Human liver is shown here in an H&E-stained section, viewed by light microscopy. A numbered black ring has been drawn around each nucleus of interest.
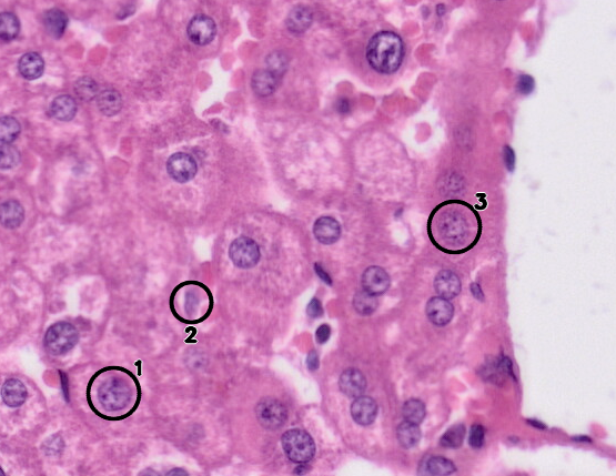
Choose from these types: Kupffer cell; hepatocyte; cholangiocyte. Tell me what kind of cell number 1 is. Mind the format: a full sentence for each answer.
Heads up, the cell numbered 1 is a hepatocyte.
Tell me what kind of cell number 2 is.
The cell referenced by the number 2 is a Kupffer cell in this field.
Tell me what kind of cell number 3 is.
Identified by the number 3, the cell is a hepatocyte.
